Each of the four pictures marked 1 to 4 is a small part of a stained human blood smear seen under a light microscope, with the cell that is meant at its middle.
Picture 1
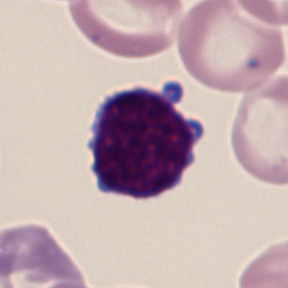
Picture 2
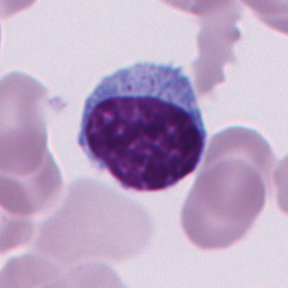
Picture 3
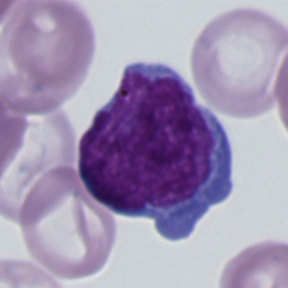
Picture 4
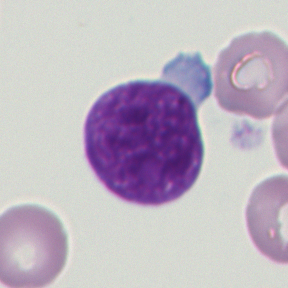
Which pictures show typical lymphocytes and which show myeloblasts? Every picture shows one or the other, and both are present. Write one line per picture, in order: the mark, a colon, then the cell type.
1: typical lymphocyte
2: typical lymphocyte
3: myeloblast
4: myeloblast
